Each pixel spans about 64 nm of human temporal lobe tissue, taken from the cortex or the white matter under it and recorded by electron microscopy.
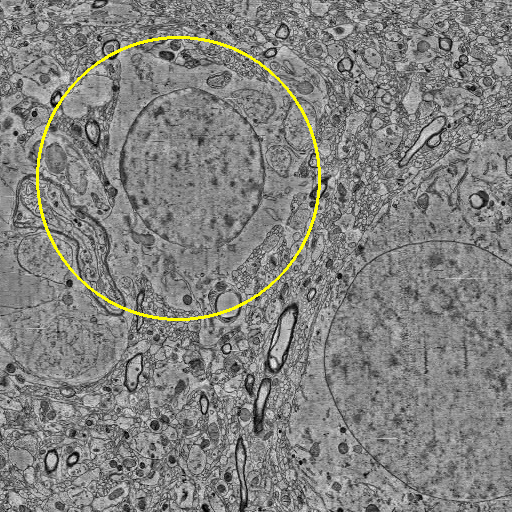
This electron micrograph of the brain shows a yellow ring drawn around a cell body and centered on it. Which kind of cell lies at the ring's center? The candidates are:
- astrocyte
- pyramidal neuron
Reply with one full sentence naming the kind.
The cell lying at the ring's center in this micrograph is an astrocyte.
